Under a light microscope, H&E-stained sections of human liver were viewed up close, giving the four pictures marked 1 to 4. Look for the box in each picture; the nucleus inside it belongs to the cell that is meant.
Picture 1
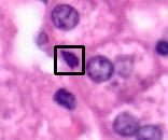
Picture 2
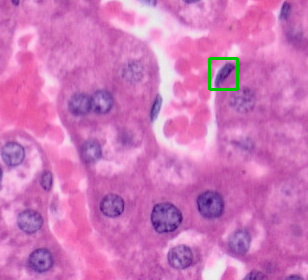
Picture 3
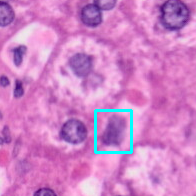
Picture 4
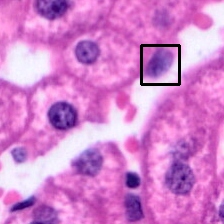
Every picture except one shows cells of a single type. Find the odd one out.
1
